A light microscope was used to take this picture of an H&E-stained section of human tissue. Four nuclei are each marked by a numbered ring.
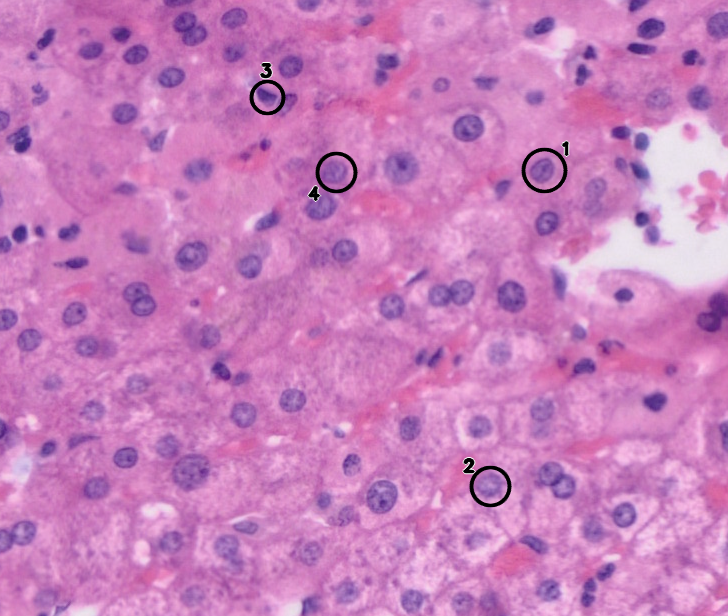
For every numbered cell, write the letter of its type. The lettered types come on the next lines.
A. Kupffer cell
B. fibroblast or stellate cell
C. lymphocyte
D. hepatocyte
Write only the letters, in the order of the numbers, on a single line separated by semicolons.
D; D; B; D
